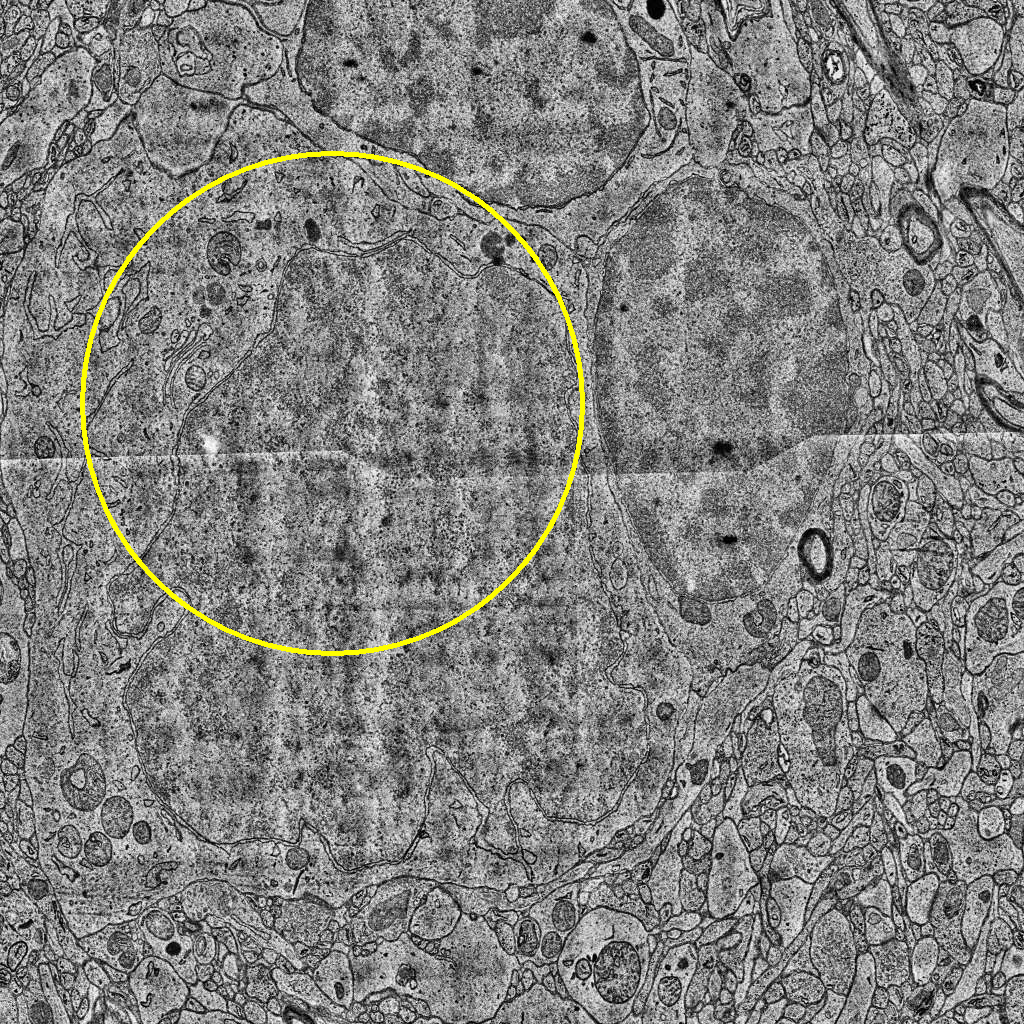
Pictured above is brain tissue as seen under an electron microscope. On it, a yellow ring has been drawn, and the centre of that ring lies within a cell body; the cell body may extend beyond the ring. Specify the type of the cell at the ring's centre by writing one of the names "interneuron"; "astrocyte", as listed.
interneuron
